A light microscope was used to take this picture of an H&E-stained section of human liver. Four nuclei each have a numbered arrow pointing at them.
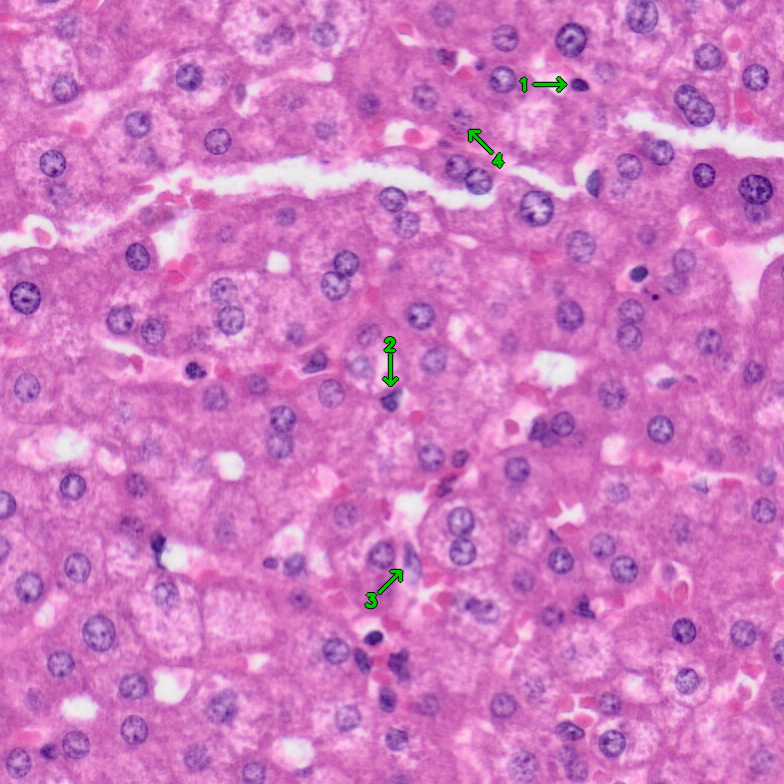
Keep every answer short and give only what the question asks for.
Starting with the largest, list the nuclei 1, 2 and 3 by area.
3, 2, 1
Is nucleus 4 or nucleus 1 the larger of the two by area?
4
